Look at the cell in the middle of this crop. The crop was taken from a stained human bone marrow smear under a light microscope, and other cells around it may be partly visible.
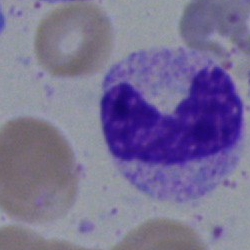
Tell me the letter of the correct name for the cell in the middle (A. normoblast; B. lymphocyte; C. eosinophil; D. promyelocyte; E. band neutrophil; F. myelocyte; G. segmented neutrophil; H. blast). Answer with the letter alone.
E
